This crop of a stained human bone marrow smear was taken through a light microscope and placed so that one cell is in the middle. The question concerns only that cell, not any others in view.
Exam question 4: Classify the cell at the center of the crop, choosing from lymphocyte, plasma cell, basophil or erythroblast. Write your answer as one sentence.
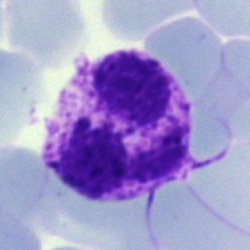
The cell at the middle of the frame should be recorded as a basophil.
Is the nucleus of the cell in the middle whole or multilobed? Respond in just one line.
Rather than a single mass, the nucleus forms two or more lobes.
